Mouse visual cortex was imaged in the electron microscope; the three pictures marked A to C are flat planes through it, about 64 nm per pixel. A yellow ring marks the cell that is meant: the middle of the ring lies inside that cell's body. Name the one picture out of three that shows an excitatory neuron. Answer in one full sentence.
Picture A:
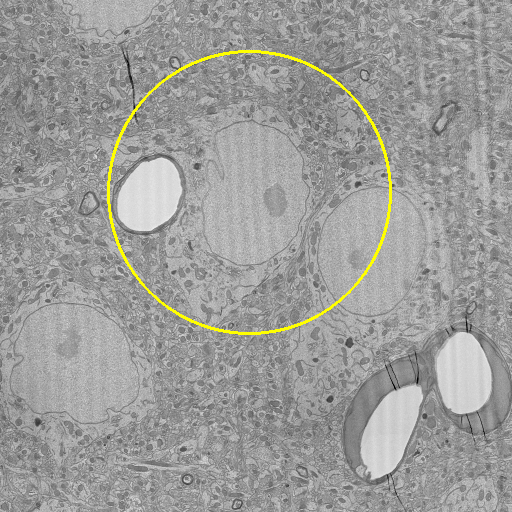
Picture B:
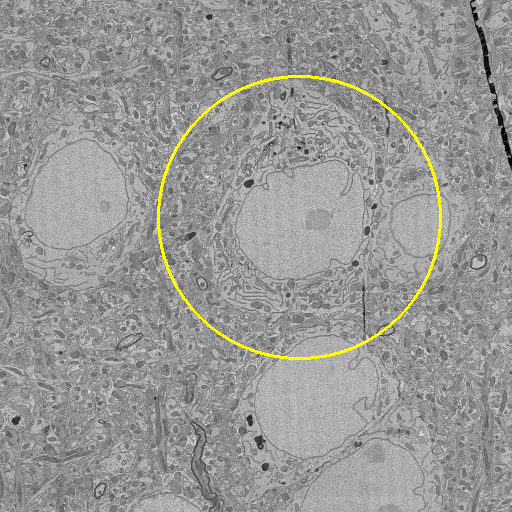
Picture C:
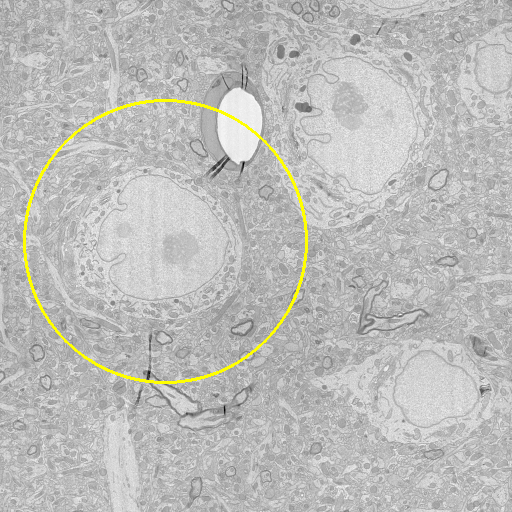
The excitatory neuron is the one in picture A.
